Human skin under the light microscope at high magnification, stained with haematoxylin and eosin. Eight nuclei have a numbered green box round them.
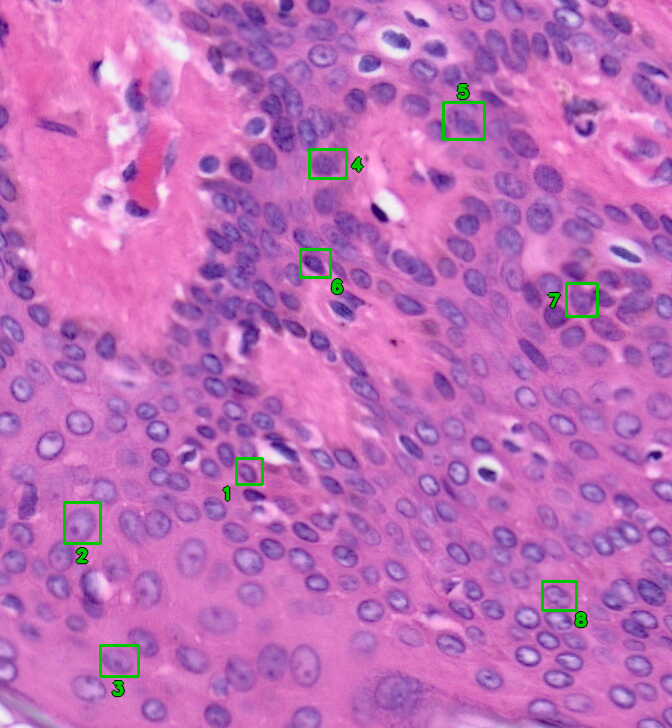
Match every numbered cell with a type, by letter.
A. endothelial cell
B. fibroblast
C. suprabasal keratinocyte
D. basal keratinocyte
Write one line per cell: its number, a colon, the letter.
1: D
2: C
3: C
4: D
5: D
6: D
7: D
8: C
